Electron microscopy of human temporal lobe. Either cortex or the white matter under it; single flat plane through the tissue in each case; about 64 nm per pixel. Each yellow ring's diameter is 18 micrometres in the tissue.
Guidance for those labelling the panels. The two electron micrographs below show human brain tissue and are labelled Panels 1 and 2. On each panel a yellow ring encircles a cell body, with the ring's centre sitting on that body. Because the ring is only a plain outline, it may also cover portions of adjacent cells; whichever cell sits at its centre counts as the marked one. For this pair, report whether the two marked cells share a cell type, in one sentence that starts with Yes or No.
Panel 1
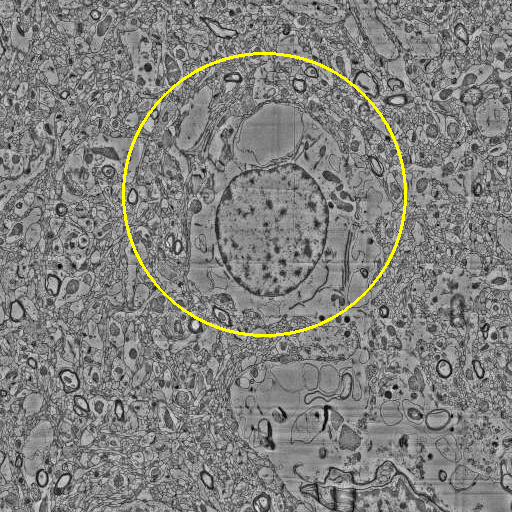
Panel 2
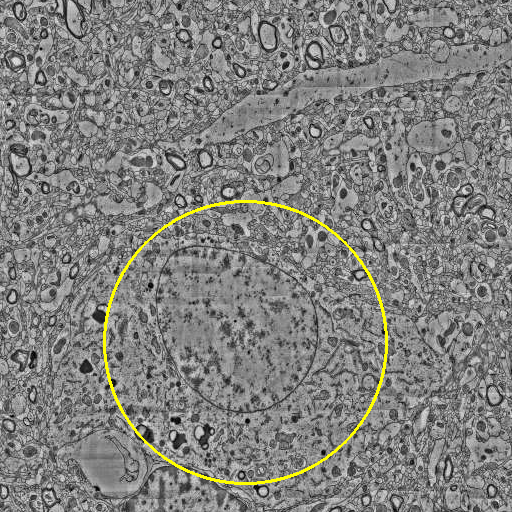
No, in Panel 1 and Panel 2 the marked cells at the ring centres are of two types.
